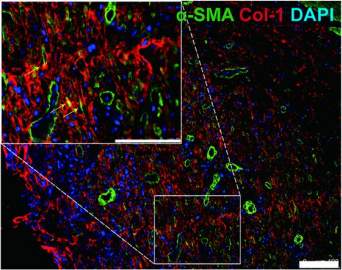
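This fluorescence image shows a fibrotic tissue containing myofibroblast cells within abundant red fibrillar material. Red strands and bundles are widespread and especially coarse at the upper left and lower left. Blue nuclei are scattered throughout. Green signal appears both as small rounded rings and as short elongated, spindle-shaped profiles lying in the red matrix. In the enlarged inset, the yellow arrows point at elongated green cells embedded among thick red fibres, with blue nuclei alongside them. The overall arrangement is irregular, with fibres running in varied directions rather than in an ordered layered pattern.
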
